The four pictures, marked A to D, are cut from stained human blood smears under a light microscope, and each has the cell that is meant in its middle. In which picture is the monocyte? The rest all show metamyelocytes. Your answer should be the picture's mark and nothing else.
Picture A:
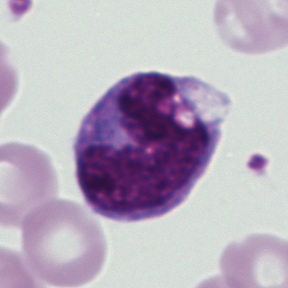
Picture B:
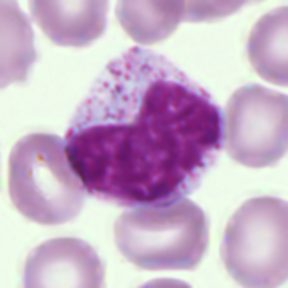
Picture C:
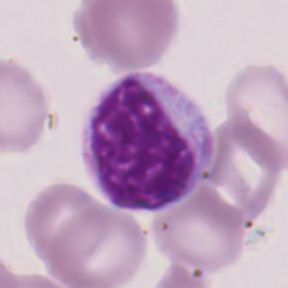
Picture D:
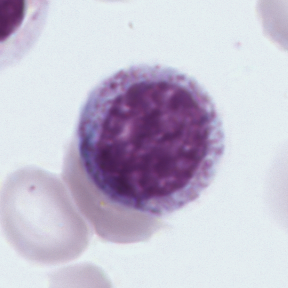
A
